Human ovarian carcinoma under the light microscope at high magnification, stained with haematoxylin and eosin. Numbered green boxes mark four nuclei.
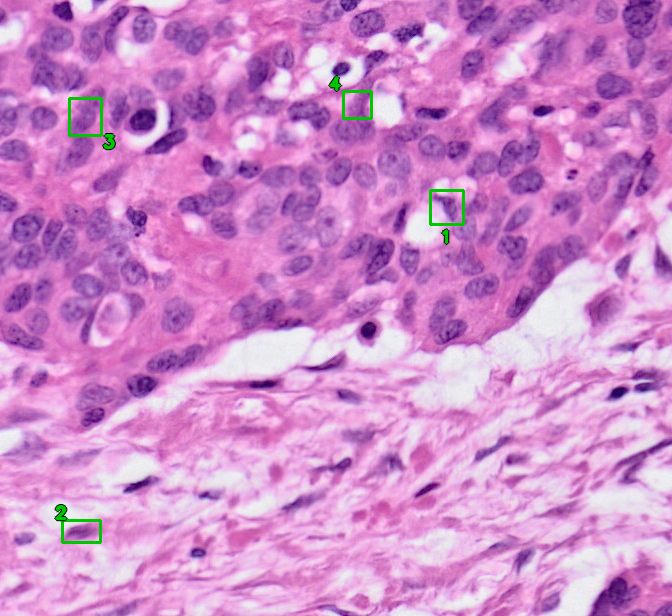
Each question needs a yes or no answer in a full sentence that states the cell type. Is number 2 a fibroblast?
Yes, the cell at number 2 is a fibroblast.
